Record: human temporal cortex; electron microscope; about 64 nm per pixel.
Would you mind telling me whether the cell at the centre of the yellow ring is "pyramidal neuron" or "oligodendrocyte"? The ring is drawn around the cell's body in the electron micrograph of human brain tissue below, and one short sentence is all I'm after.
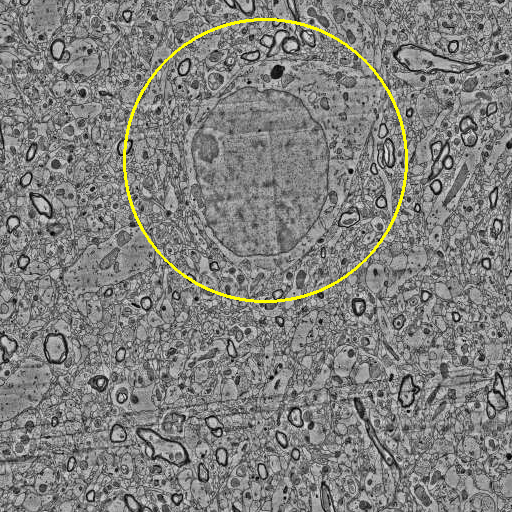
In the centre of the ring lies a pyramidal neuron.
